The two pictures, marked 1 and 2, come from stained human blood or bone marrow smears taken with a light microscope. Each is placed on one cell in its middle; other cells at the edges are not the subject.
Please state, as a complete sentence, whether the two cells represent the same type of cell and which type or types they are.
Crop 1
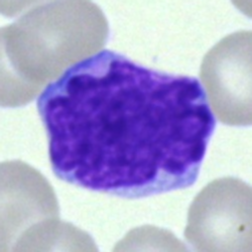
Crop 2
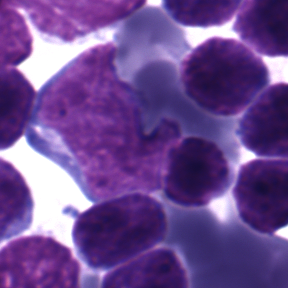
Yes, the cells centred in the two crops are both blasts.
